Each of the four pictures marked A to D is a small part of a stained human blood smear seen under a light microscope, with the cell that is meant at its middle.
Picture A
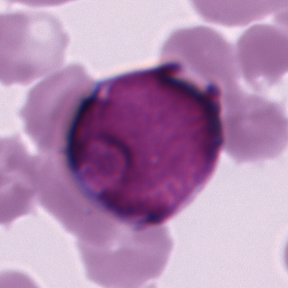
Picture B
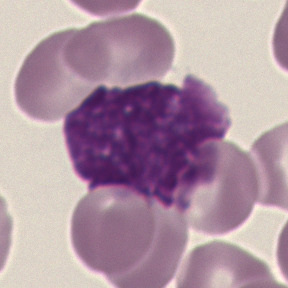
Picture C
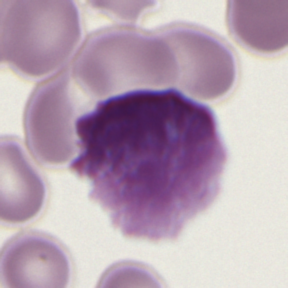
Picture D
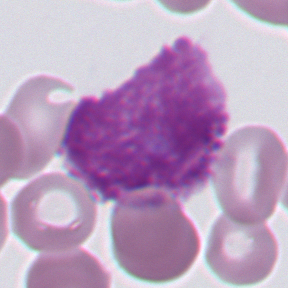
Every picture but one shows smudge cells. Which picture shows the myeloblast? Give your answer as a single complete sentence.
The myeloblast is the one in picture A.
